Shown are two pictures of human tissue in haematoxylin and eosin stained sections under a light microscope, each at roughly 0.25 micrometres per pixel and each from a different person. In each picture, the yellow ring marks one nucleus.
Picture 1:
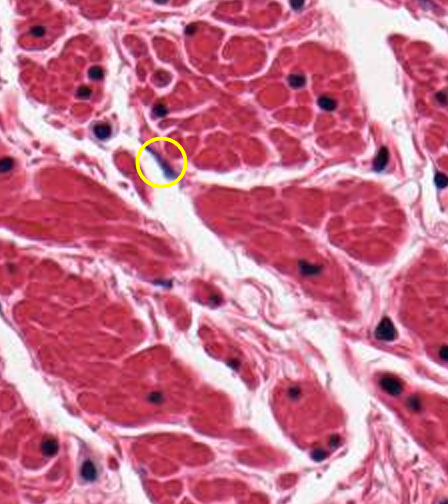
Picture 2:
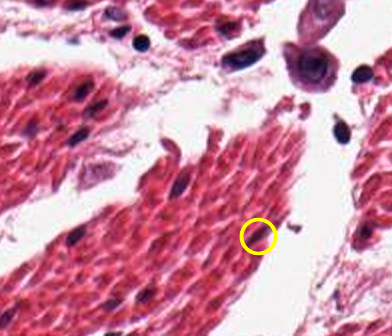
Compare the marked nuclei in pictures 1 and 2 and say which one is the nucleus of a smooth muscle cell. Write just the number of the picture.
2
